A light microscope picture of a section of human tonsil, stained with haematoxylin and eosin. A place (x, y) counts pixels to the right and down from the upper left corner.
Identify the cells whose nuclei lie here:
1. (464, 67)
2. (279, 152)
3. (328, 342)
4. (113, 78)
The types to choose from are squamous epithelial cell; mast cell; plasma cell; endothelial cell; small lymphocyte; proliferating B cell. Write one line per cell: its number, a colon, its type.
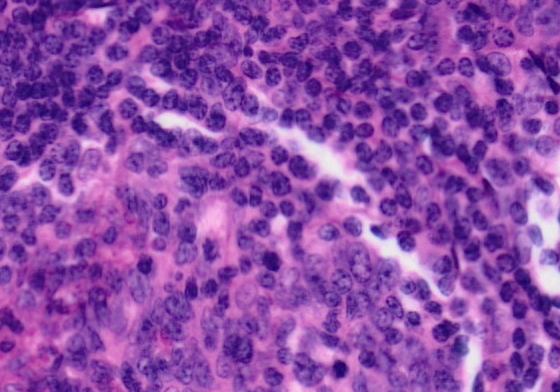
1: small lymphocyte
2: small lymphocyte
3: proliferating B cell
4: small lymphocyte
